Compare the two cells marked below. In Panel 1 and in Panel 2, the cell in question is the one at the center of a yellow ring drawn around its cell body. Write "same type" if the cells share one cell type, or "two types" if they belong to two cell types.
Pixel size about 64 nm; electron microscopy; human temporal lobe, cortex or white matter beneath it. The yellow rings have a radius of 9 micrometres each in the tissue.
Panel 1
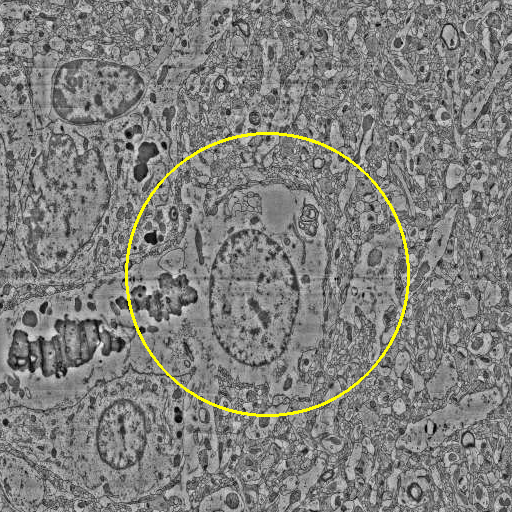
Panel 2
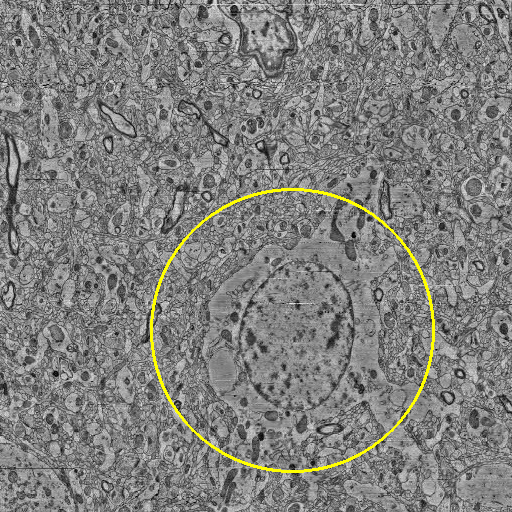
same type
